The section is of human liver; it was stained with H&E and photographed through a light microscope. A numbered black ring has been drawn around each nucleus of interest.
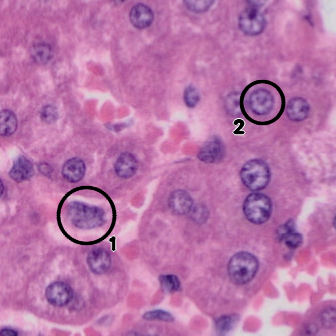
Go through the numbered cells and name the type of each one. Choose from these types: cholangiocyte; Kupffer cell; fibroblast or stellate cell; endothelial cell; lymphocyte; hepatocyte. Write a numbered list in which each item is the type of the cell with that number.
1. Kupffer cell
2. hepatocyte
